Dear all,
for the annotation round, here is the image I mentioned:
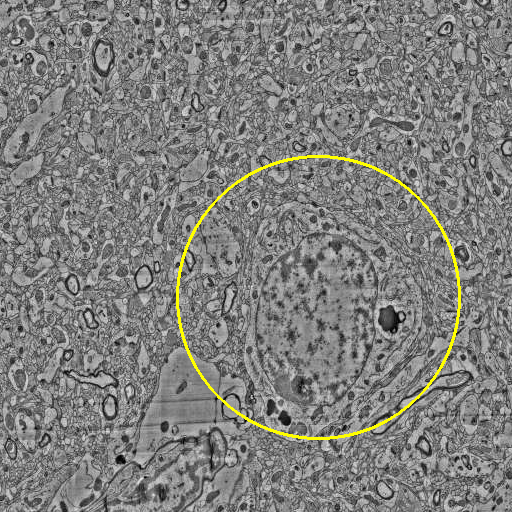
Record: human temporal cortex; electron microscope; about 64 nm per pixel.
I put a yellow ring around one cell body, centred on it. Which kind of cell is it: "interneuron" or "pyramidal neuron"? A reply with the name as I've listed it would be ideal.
interneuron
